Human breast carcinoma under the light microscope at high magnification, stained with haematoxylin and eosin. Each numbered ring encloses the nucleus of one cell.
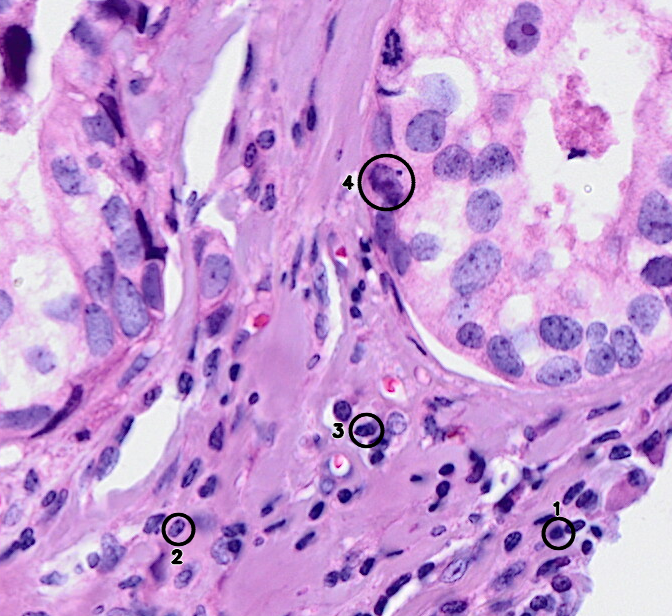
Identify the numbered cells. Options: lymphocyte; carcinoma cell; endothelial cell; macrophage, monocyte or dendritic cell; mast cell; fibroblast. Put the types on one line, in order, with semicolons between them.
lymphocyte; lymphocyte; lymphocyte; carcinoma cell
